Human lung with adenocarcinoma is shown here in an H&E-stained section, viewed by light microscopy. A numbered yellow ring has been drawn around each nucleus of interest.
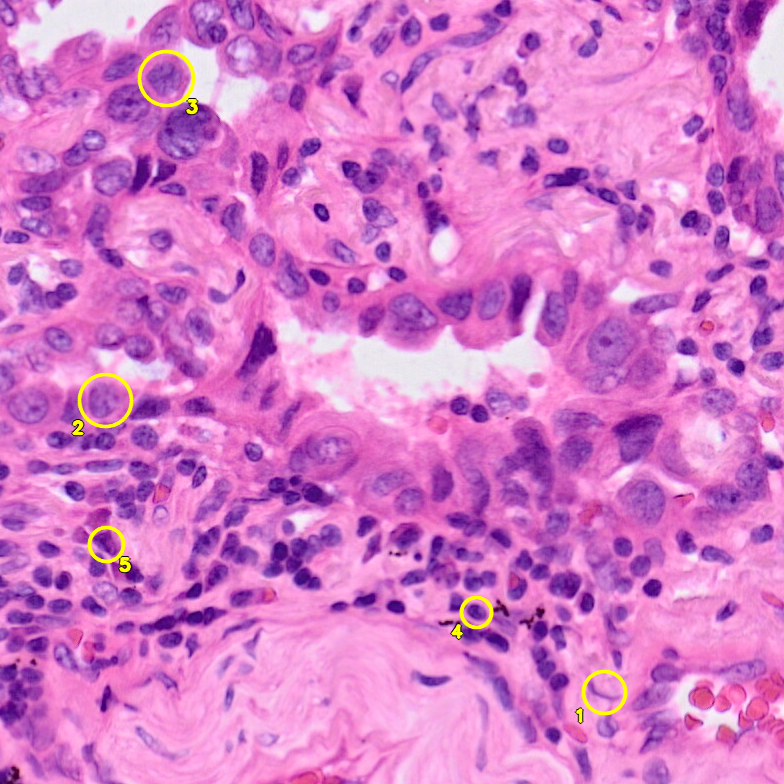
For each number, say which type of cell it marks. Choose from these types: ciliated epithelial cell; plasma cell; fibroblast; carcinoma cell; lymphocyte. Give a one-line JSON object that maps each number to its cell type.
{"1": "fibroblast", "2": "carcinoma cell", "3": "carcinoma cell", "4": "lymphocyte", "5": "plasma cell"}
